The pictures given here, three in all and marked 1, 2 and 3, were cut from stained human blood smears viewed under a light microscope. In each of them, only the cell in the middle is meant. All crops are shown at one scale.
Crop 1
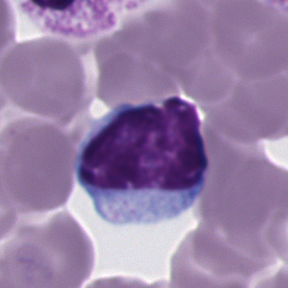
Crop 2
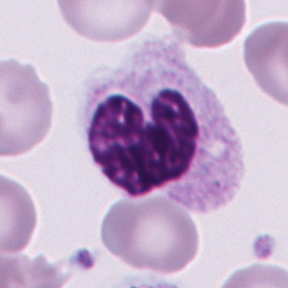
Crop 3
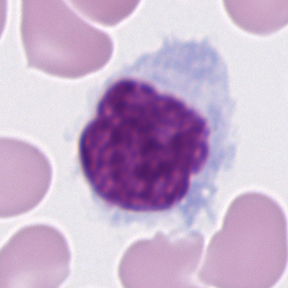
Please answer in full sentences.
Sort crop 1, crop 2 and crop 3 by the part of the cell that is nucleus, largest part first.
They run 1, 3, 2, the most filled first.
